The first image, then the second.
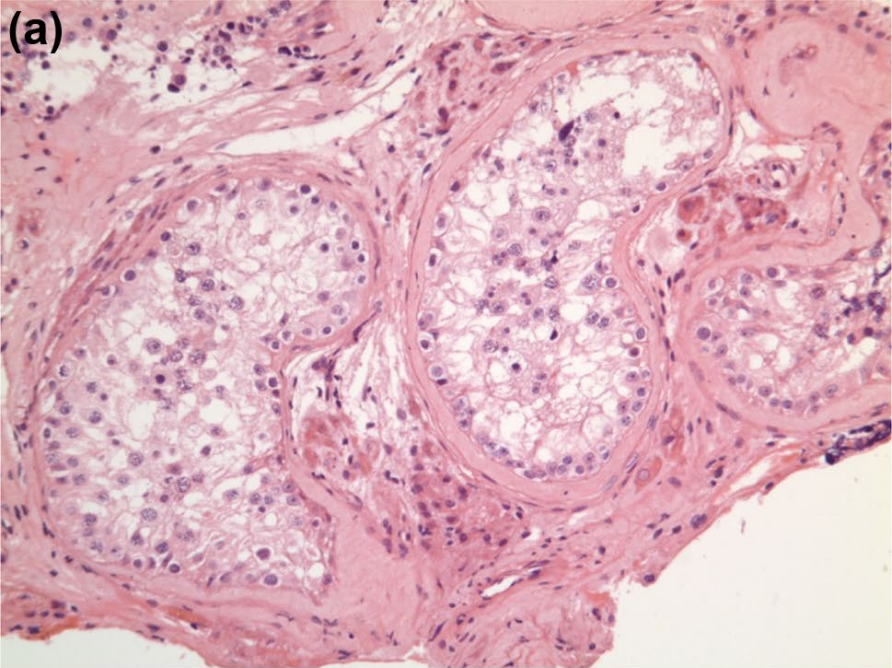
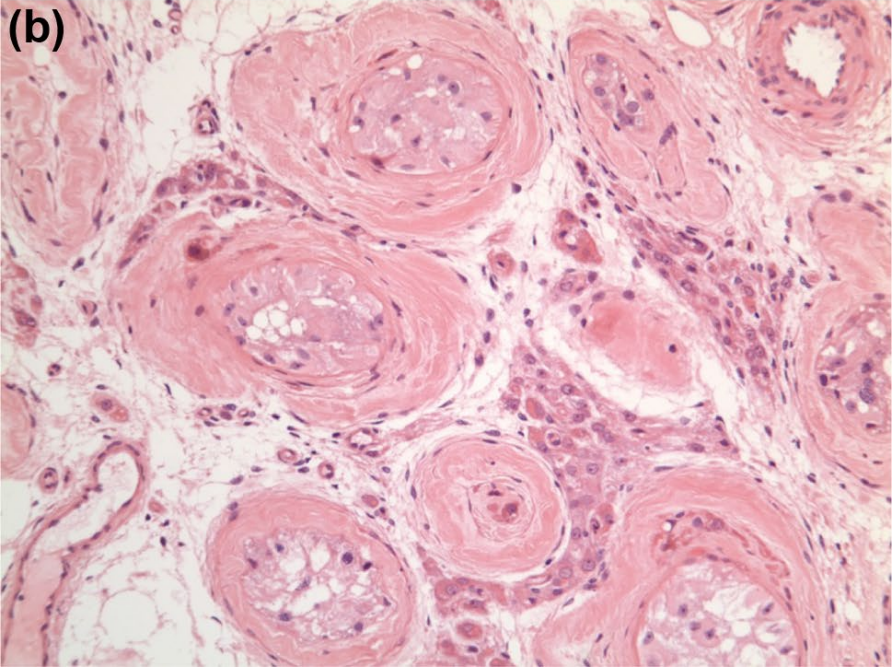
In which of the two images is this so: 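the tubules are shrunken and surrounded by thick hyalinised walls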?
The second image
